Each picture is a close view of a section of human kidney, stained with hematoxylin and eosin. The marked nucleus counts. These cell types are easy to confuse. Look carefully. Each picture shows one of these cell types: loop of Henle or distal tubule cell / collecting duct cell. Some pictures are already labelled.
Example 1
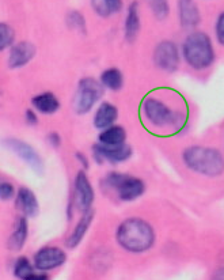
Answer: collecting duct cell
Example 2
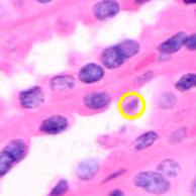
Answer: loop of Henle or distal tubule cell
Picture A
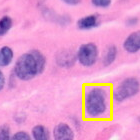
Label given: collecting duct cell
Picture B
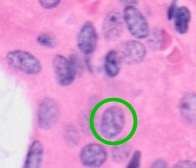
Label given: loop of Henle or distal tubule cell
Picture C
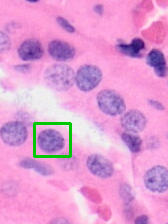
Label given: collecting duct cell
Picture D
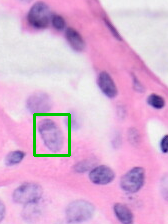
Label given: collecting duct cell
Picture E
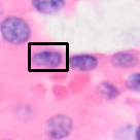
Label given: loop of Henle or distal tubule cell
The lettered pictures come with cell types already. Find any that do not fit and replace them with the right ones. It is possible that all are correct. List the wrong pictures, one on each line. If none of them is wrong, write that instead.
B: change loop of Henle or distal tubule cell to collecting duct cell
